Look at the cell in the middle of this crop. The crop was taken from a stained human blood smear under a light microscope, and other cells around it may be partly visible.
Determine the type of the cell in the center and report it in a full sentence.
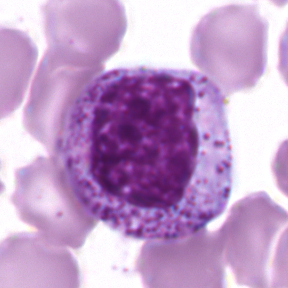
For this crop, the cell in the middle is a myelocyte.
